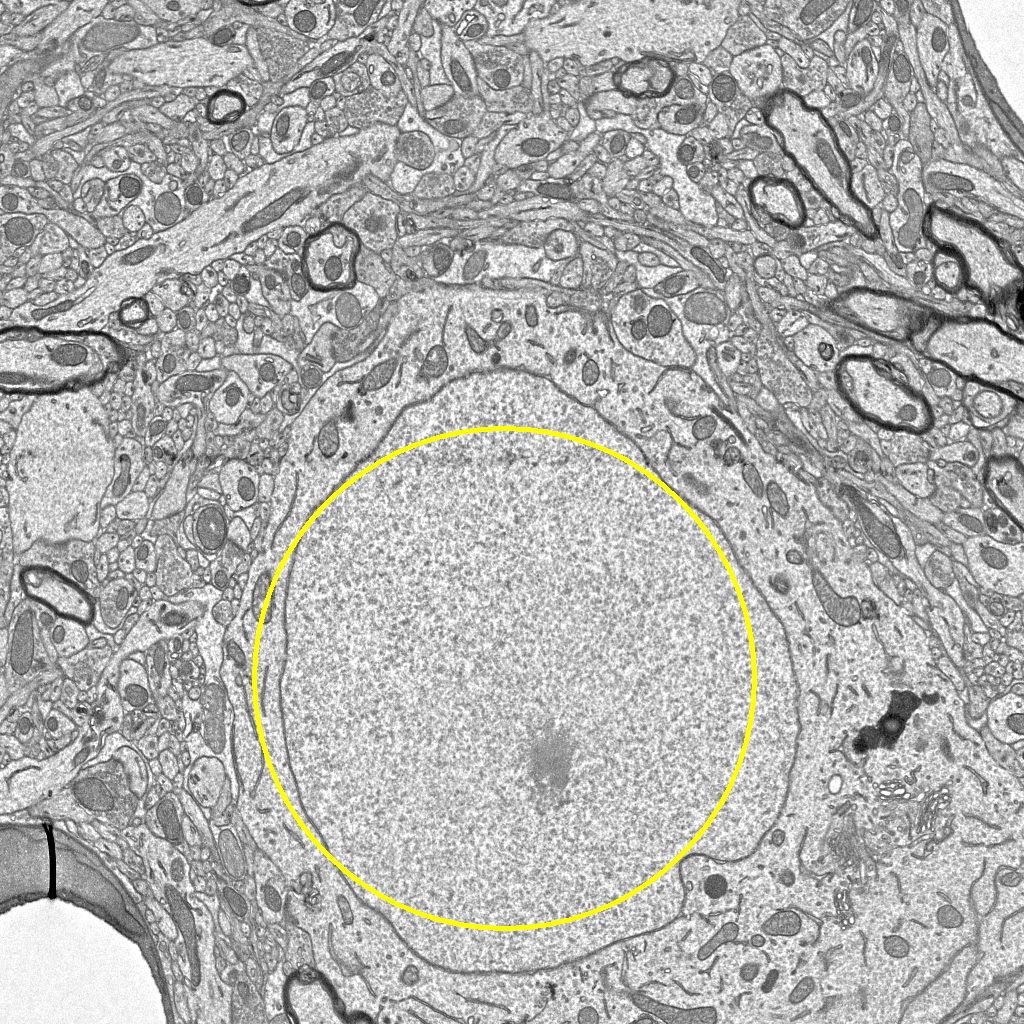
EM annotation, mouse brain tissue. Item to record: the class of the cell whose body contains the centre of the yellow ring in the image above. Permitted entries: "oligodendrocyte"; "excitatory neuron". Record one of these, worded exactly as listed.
excitatory neuron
